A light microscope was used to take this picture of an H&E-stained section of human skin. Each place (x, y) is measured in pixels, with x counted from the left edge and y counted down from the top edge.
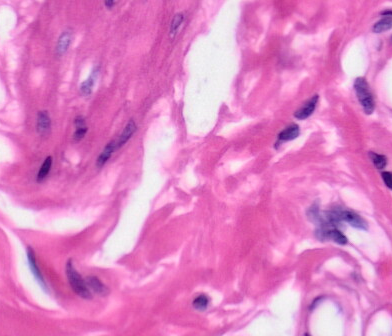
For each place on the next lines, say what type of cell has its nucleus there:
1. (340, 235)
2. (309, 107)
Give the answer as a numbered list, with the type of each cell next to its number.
1. endothelial cell
2. fibroblast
